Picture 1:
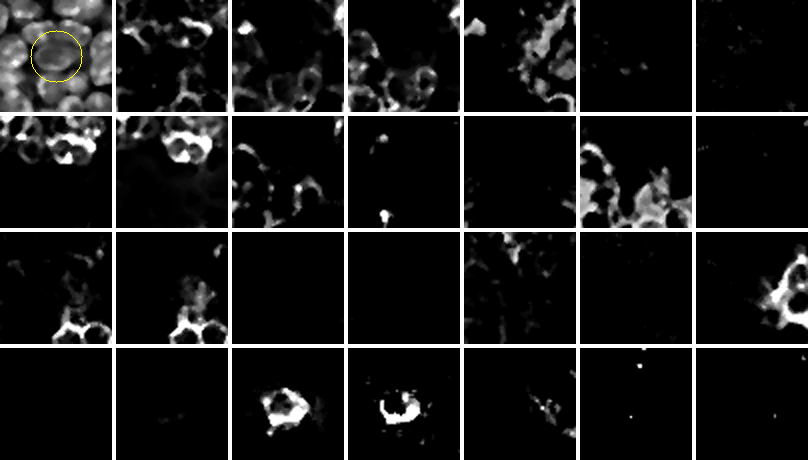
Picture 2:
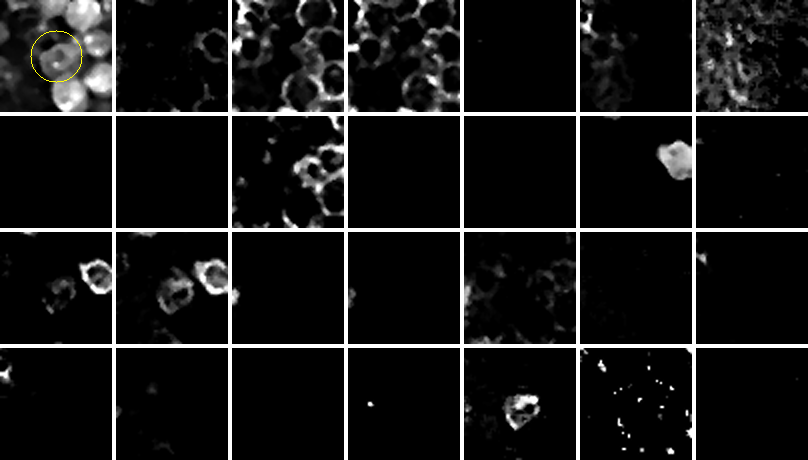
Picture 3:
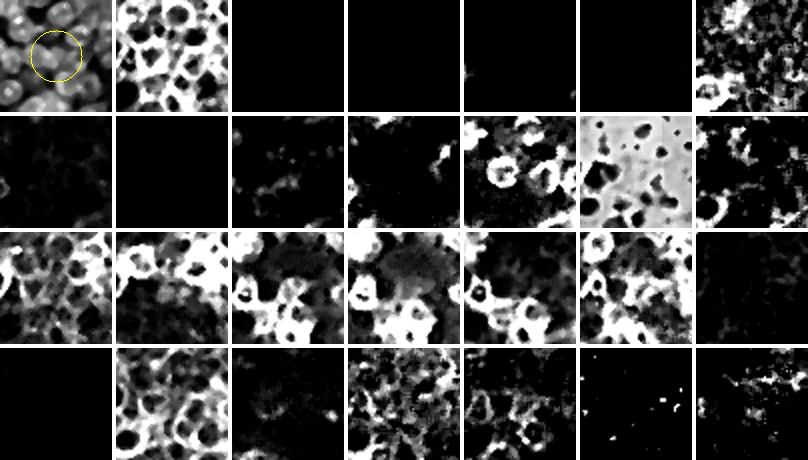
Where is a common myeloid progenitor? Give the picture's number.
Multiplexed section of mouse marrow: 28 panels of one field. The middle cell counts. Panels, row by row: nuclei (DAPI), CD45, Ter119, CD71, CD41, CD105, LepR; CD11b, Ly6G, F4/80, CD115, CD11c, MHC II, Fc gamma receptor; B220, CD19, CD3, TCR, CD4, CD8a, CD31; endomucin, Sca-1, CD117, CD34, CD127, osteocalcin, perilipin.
1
